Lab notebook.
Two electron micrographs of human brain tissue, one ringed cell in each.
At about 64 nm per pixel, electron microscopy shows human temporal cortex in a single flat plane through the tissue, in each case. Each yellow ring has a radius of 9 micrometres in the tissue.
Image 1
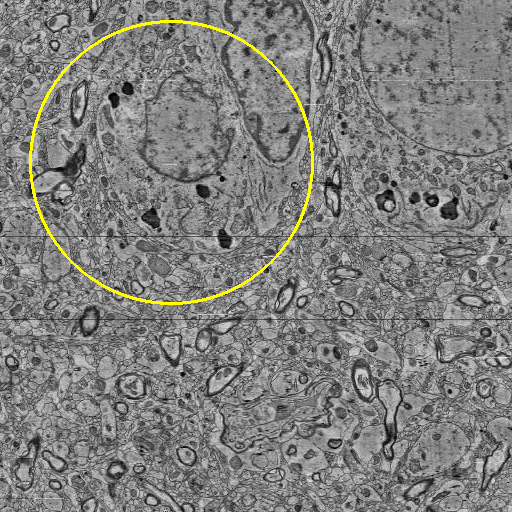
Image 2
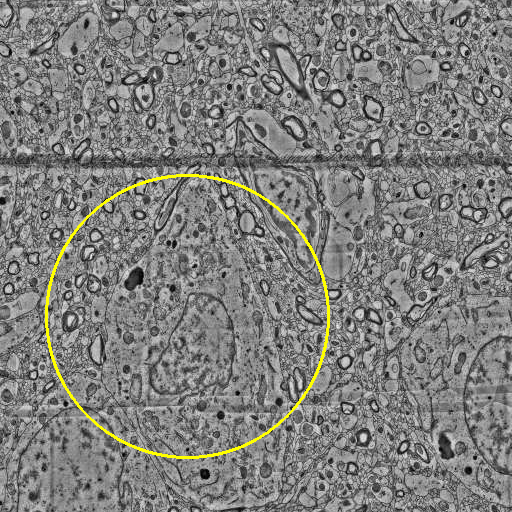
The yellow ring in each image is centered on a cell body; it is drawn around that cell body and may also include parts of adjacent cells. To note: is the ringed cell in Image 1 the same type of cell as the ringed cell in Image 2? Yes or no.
yes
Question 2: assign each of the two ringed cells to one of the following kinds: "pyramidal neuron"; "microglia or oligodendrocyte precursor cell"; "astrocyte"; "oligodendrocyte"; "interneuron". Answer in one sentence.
In both pictures the ring is centred on a pyramidal neuron.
